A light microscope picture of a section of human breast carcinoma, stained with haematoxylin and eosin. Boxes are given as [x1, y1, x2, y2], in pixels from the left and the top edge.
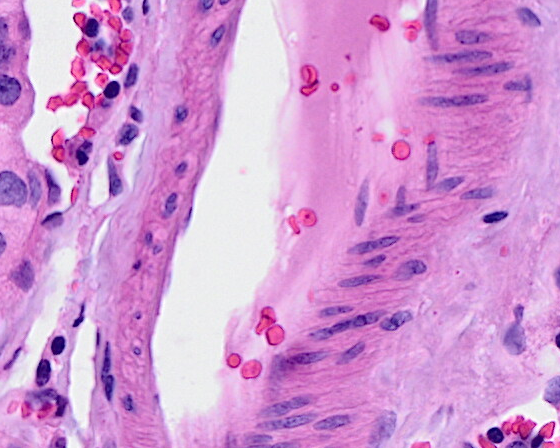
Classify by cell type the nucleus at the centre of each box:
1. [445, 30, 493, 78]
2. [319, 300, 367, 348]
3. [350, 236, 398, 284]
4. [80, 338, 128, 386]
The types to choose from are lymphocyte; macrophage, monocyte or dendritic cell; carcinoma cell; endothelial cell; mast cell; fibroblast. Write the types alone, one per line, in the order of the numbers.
endothelial cell
endothelial cell
endothelial cell
fibroblast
